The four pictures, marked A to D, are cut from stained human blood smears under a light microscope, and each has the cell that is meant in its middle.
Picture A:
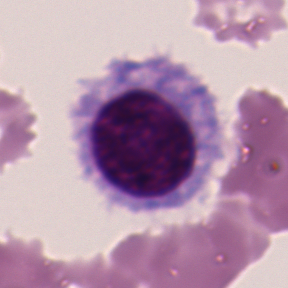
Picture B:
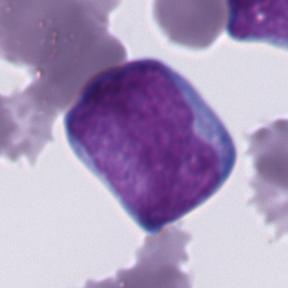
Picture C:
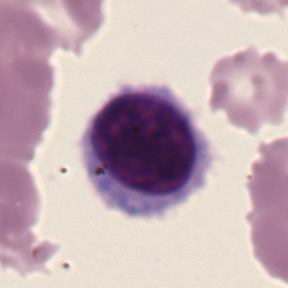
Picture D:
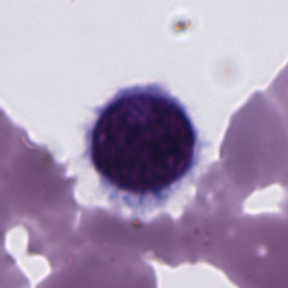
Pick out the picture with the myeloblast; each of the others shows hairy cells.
B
